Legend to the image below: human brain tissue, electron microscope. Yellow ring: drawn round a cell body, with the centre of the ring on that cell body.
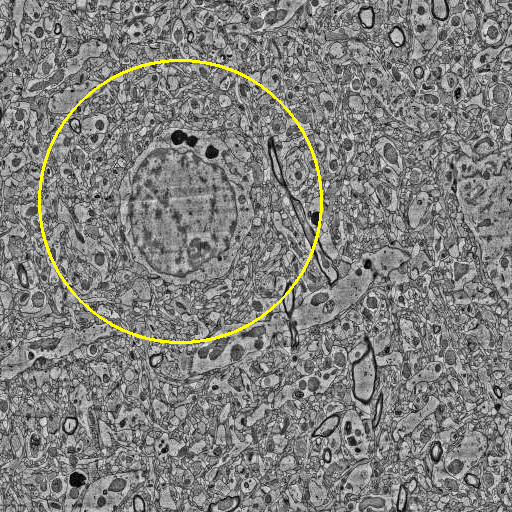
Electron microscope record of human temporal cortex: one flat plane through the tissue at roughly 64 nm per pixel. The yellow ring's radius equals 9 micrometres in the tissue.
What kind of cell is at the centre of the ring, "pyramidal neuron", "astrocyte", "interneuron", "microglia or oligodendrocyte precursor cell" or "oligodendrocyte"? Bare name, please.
interneuron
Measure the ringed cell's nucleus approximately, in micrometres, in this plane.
The nucleus comes to roughly 8 by 7 micrometres in this plane.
